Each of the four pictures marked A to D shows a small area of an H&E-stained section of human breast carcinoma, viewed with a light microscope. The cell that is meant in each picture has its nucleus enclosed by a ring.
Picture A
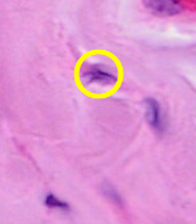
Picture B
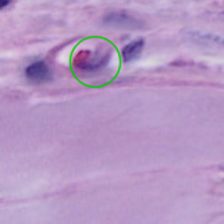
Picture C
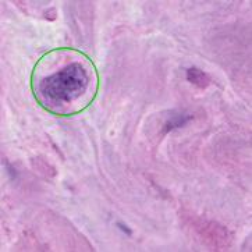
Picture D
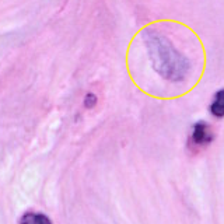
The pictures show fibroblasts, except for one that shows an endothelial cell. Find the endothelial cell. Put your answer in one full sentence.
Picture B shows the endothelial cell.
